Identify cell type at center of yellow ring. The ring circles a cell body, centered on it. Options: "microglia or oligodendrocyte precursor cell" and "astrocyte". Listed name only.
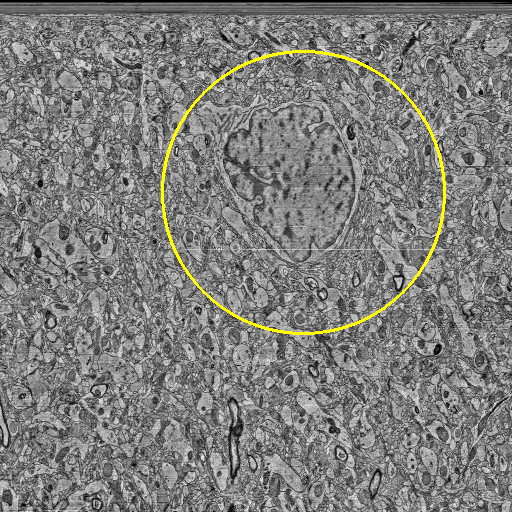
microglia or oligodendrocyte precursor cell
